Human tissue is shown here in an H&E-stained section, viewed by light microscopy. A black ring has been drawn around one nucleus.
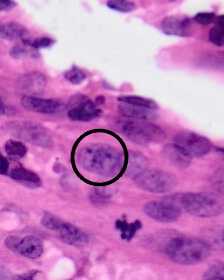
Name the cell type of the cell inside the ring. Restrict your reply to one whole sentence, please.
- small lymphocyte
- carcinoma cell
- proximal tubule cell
In the tissue under study, the cell inside the ring is a carcinoma cell.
